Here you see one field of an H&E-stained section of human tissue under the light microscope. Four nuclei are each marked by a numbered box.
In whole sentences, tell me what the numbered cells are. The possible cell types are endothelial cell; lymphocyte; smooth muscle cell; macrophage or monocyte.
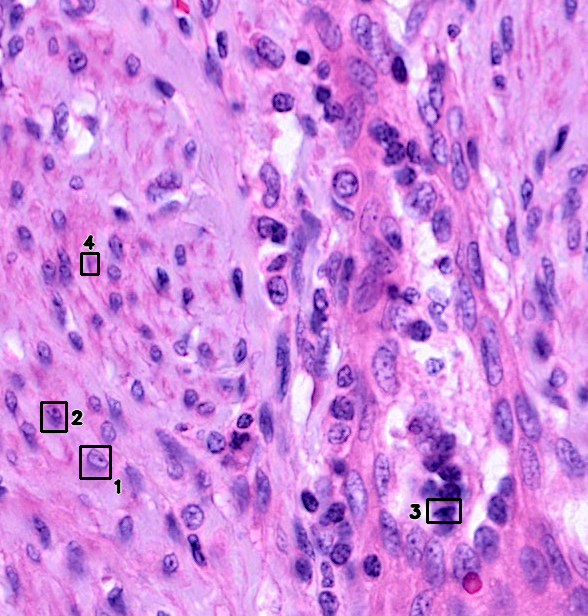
Cells 1, 2 and 4 are smooth muscle cells. Cell 3 is a lymphocyte.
